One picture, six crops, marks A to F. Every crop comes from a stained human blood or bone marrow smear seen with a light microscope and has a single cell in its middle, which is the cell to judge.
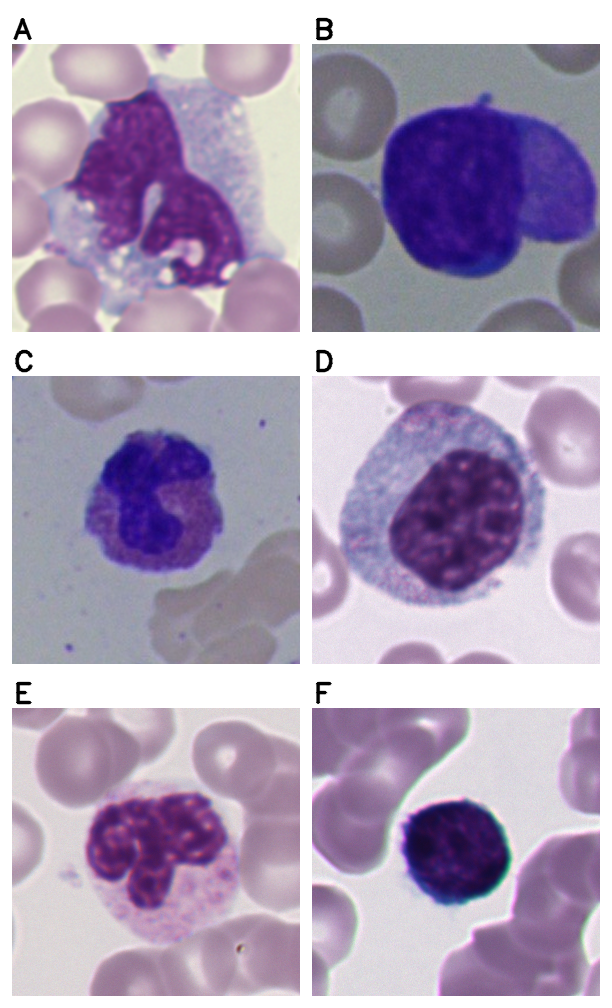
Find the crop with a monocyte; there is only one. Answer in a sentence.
So the crop with a monocyte at its center is crop A.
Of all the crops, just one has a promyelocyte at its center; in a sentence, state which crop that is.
Among the crops, only crop D contains a promyelocyte.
